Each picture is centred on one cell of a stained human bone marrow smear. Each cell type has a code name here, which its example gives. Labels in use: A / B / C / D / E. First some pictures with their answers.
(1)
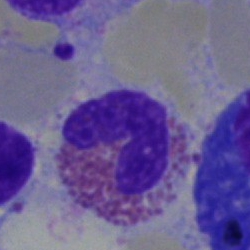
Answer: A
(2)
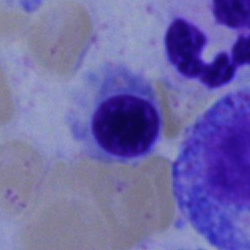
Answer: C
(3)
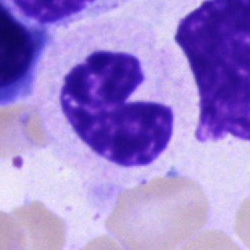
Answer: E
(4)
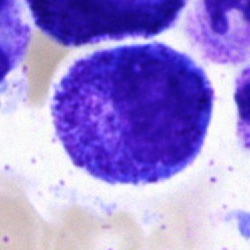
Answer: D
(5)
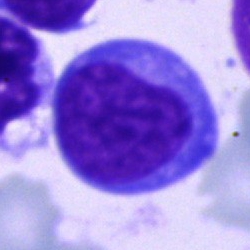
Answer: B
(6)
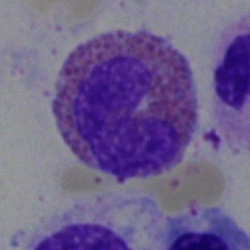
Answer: A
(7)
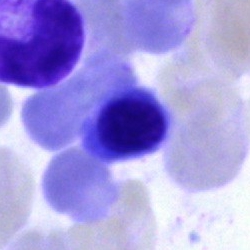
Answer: C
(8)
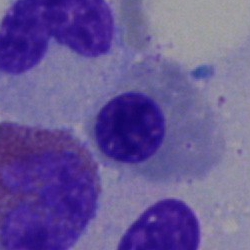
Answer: C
